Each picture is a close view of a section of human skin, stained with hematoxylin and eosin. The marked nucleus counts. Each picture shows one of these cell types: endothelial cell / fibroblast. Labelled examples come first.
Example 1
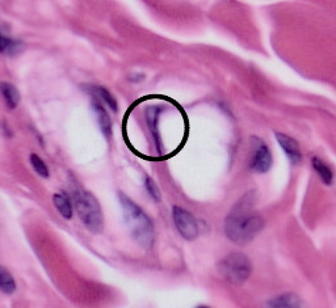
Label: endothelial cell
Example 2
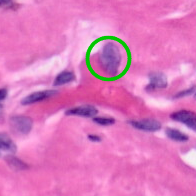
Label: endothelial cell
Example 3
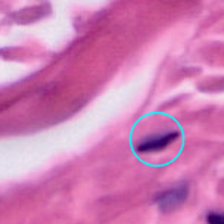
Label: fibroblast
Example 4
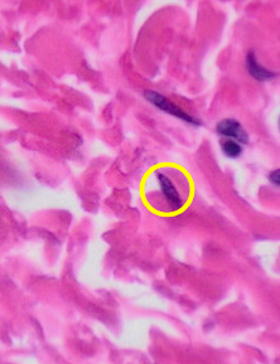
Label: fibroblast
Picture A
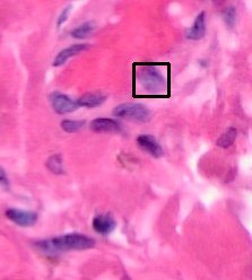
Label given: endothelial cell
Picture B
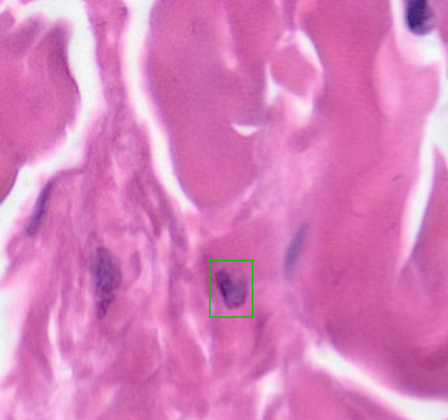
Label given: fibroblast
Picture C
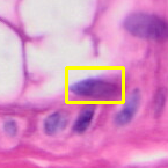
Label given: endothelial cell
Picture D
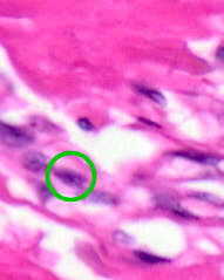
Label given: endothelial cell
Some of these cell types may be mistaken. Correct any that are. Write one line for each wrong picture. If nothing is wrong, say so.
Every label is right.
